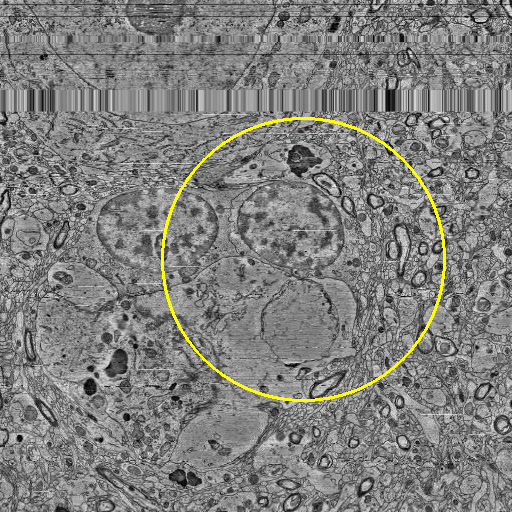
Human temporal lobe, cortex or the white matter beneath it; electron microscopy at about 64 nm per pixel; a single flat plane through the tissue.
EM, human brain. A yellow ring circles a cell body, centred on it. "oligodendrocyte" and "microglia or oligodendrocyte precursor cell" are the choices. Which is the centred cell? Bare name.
oligodendrocyte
